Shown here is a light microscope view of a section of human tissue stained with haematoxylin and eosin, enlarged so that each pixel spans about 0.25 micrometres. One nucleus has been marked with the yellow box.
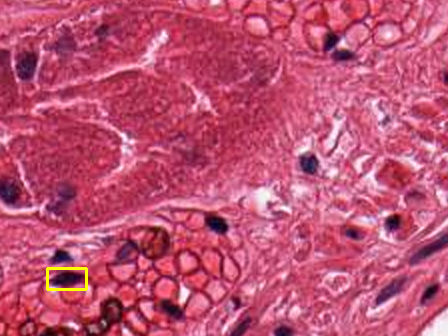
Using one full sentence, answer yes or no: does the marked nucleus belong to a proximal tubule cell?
No, what carries the marked nucleus is a supporting cell rather than a proximal tubule cell.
